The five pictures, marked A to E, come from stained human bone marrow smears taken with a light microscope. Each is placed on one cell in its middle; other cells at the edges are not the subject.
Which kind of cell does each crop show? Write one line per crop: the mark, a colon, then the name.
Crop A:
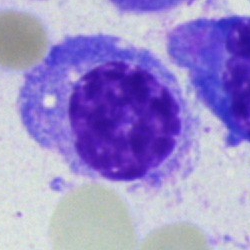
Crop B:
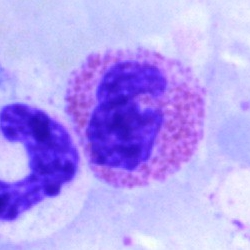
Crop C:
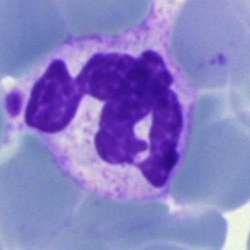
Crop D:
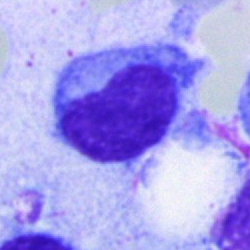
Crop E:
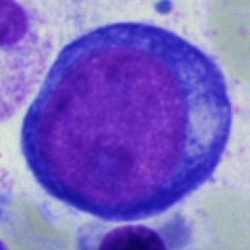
A: plasma cell
B: eosinophil
C: segmented neutrophil
D: hairy cell
E: proerythroblast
